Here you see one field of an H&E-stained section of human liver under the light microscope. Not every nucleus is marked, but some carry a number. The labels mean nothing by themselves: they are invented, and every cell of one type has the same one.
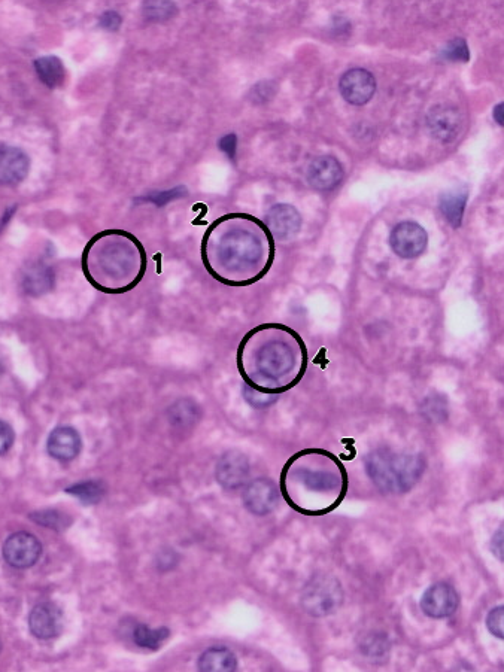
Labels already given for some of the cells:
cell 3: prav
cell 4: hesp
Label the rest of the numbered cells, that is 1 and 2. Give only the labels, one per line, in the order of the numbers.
hesp
hesp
